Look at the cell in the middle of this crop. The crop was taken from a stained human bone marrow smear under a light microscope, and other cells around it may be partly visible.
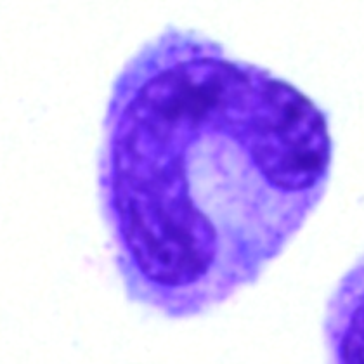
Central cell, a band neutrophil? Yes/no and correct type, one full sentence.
Yes, the cell sitting in the center is a band neutrophil.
